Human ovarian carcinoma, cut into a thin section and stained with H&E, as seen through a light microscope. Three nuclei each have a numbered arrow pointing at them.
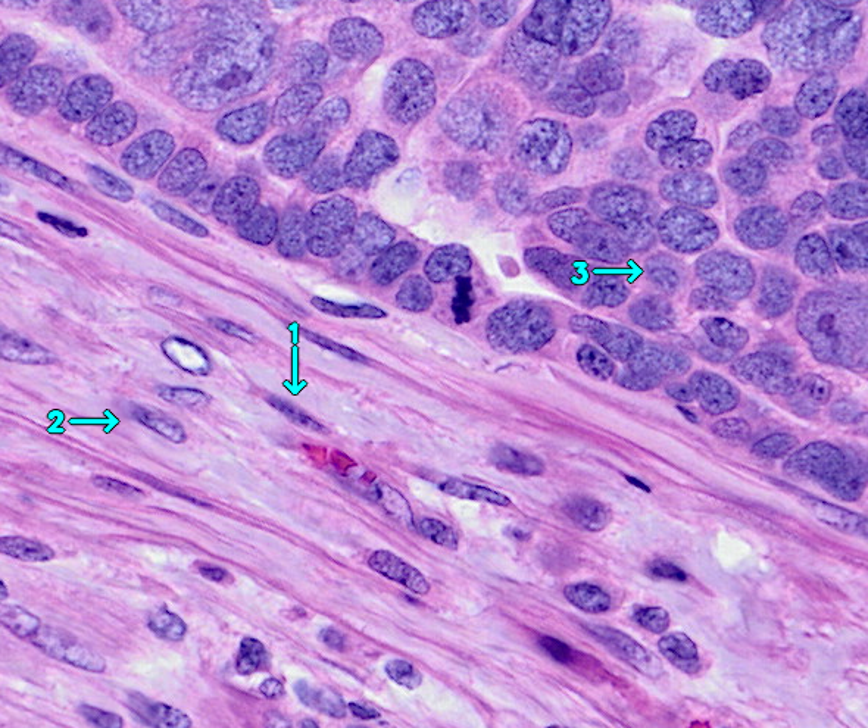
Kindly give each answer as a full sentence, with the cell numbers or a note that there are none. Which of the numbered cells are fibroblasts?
The cells shown with numbers 1 and 2 are fibroblasts.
